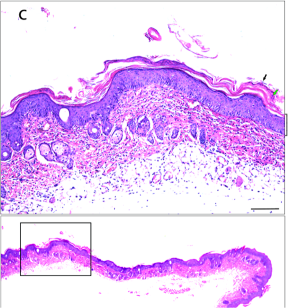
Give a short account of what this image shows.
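A section of skin whose epidermis is thickened, with purple keratinocytes covered by a wavy, layered pink horny layer. The dermis beneath is crowded with cells and contains scattered hair follicles in a pink connective tissue.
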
